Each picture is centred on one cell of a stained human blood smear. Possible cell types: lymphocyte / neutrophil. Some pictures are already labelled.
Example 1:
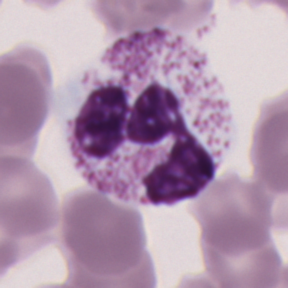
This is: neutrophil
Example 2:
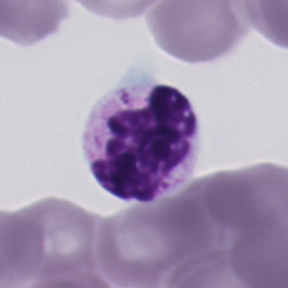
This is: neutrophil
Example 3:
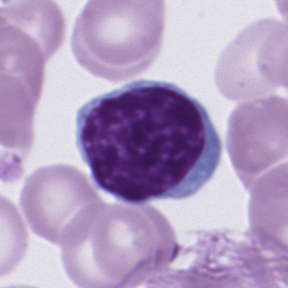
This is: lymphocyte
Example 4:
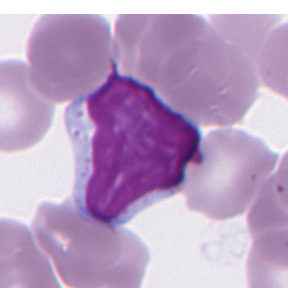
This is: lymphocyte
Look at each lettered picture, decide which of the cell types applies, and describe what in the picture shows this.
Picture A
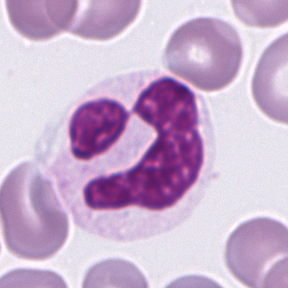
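Answer: neutrophil. The cytoplasm is pale lilac-pink and forms a wide area around the nucleus.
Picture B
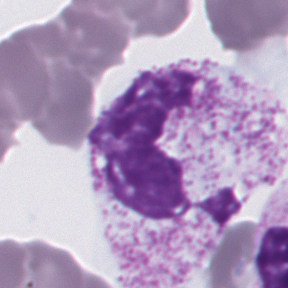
Answer: neutrophil. The cytoplasm between the granules is pale, almost colourless.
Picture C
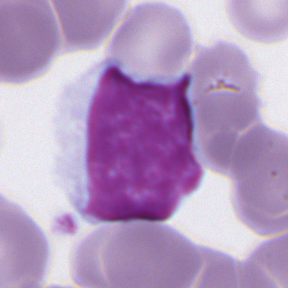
Answer: lymphocyte. The nucleus fills most of the cell, and the cytoplasm forms a band mainly on its left side.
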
